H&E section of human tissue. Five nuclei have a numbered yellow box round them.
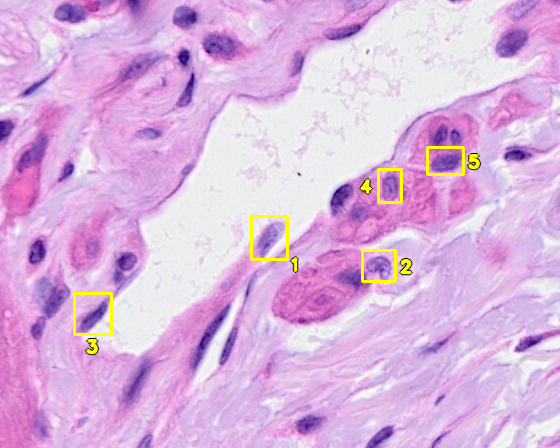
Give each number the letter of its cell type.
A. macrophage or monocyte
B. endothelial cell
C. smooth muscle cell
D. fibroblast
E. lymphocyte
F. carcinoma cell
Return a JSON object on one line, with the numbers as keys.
{"1": "B", "2": "A", "3": "B", "4": "C", "5": "C"}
